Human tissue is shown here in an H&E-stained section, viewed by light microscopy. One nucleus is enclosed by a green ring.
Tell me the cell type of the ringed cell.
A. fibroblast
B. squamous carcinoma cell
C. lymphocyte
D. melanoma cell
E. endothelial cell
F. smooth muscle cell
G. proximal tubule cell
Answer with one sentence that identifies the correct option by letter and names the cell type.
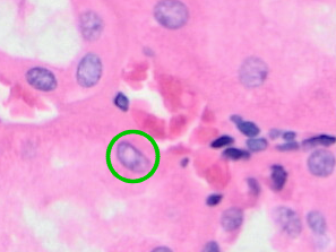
Option G holds, since the ringed cell is a proximal tubule cell.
